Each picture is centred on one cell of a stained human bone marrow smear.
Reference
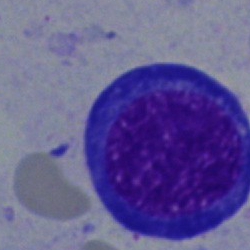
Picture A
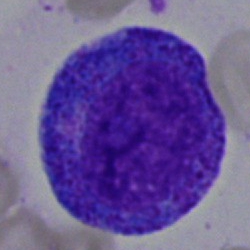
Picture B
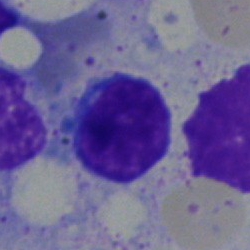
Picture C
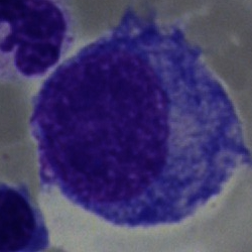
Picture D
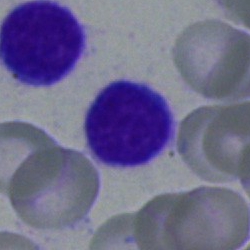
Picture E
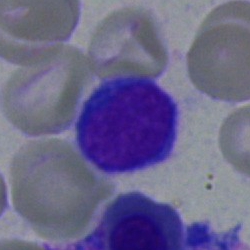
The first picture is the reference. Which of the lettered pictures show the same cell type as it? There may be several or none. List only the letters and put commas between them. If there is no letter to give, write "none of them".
none of them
